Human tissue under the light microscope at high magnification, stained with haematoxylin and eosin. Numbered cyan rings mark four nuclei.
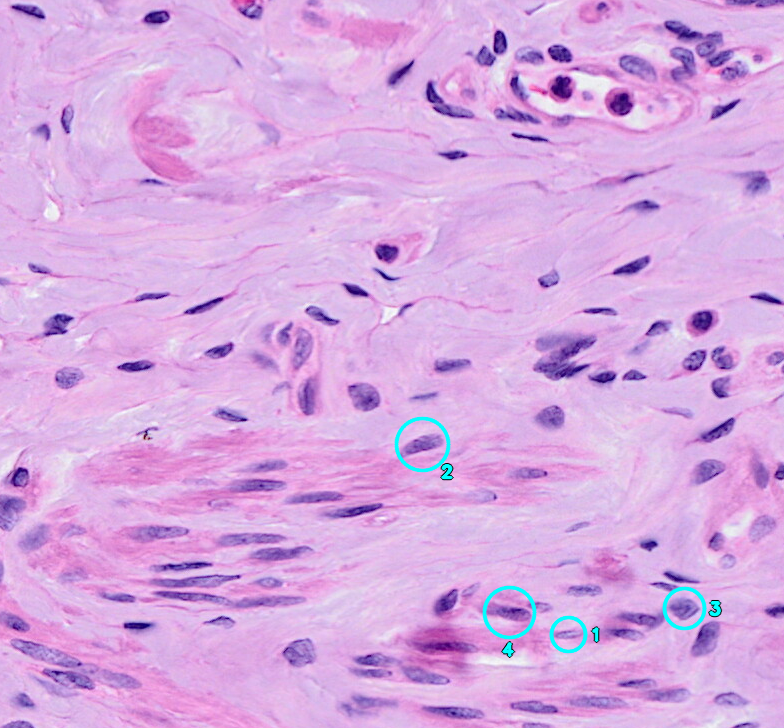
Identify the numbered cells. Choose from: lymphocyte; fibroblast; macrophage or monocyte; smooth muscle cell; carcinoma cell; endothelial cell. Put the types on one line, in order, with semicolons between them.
smooth muscle cell; smooth muscle cell; fibroblast; smooth muscle cell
